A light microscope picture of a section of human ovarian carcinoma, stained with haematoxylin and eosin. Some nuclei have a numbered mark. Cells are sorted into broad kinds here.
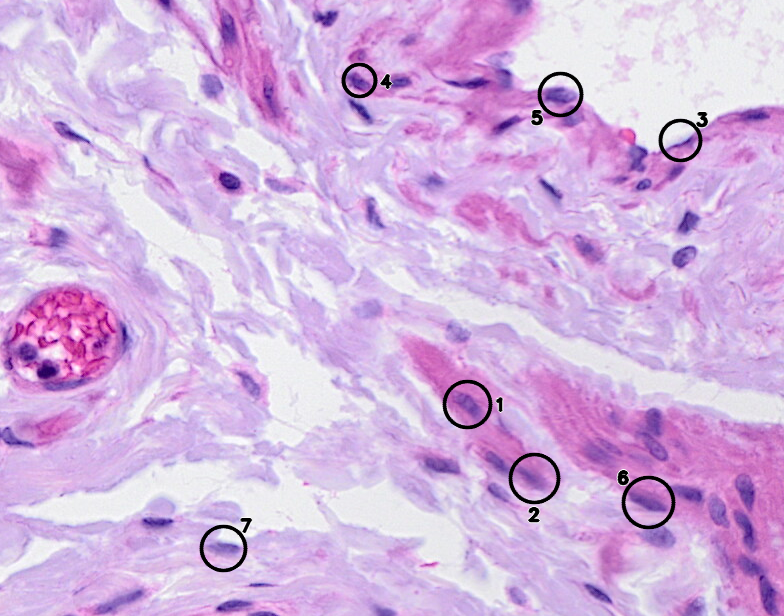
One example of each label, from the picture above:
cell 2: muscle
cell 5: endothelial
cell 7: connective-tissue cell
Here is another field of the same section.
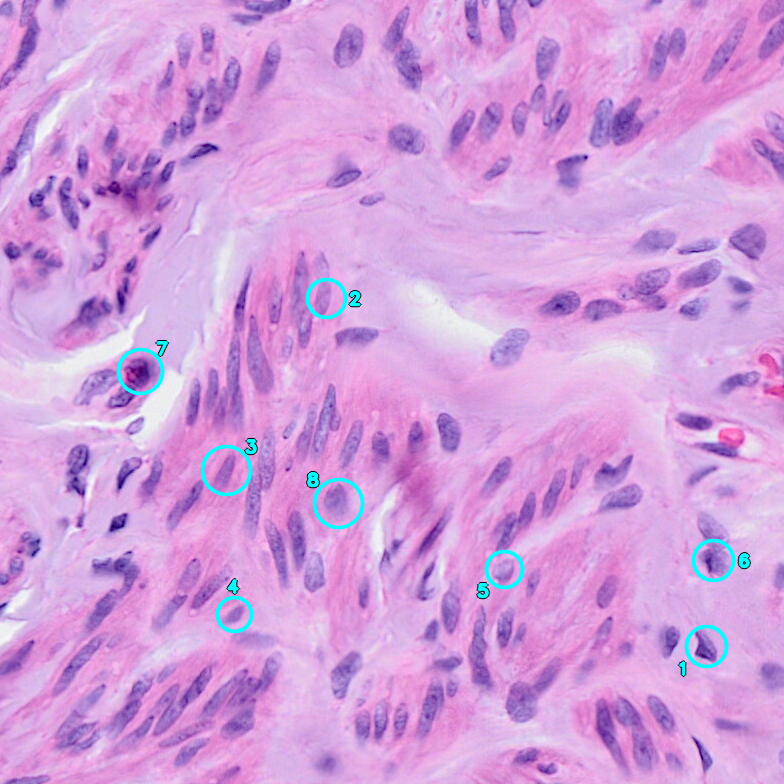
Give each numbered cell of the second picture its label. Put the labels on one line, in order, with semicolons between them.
connective-tissue cell; muscle; muscle; muscle; muscle; connective-tissue cell; endothelial; muscle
